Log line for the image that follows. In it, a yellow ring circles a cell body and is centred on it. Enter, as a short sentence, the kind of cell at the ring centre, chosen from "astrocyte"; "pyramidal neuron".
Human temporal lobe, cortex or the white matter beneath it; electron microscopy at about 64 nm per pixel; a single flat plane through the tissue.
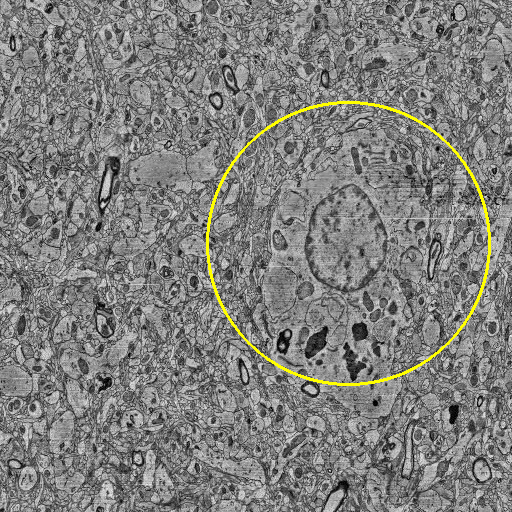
The ring centre is occupied by an astrocyte.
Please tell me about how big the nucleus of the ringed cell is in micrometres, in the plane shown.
Approximately 7 micrometres long and 5 micrometres wide, in this plane.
